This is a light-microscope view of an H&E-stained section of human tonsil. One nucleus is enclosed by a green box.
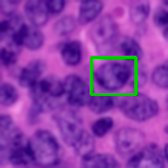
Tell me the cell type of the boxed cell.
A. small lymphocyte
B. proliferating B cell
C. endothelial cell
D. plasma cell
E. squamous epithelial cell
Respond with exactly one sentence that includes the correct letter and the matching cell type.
Option B is the right choice, for the boxed cell is a proliferating B cell.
